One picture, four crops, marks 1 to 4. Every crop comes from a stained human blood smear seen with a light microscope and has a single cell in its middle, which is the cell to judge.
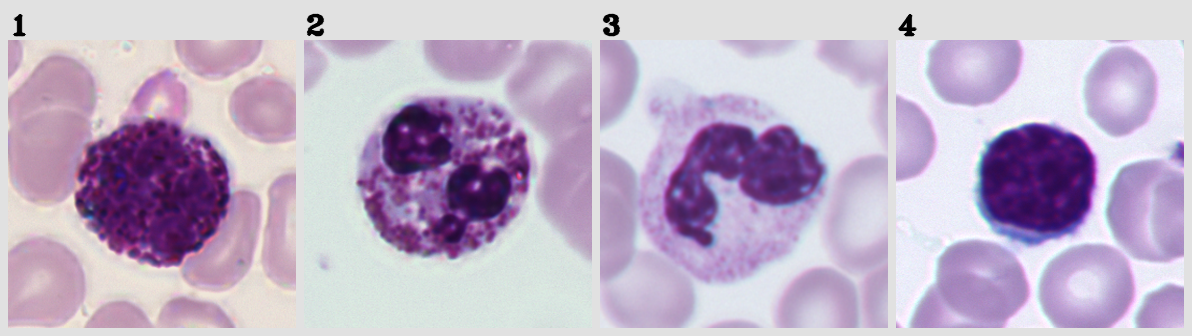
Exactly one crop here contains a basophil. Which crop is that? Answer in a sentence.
On review of the set, crop 1 is the one showing a basophil.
